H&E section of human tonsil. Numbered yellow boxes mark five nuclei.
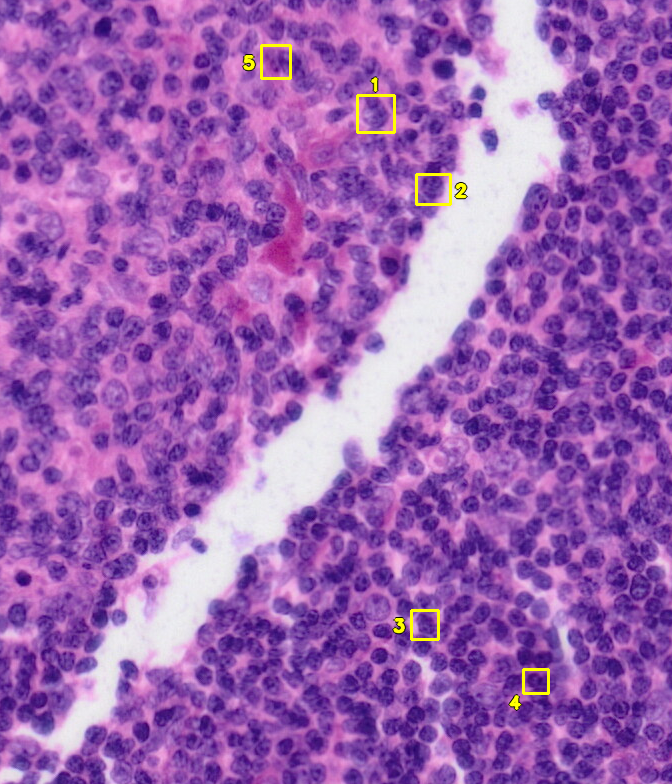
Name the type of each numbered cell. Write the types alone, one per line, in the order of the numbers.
proliferating B cell
proliferating B cell
small lymphocyte
small lymphocyte
proliferating B cell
